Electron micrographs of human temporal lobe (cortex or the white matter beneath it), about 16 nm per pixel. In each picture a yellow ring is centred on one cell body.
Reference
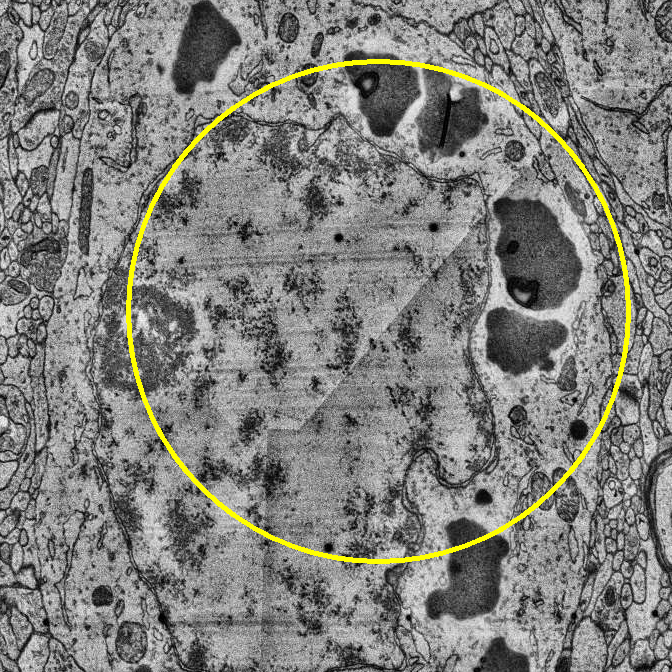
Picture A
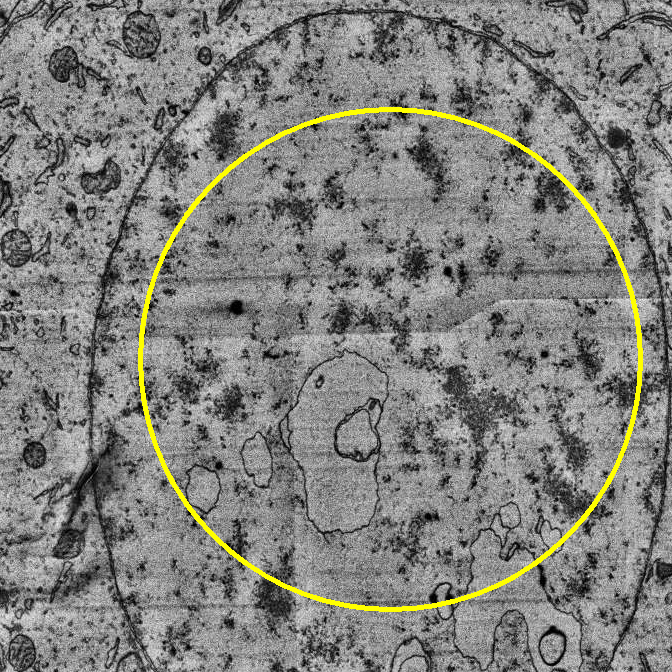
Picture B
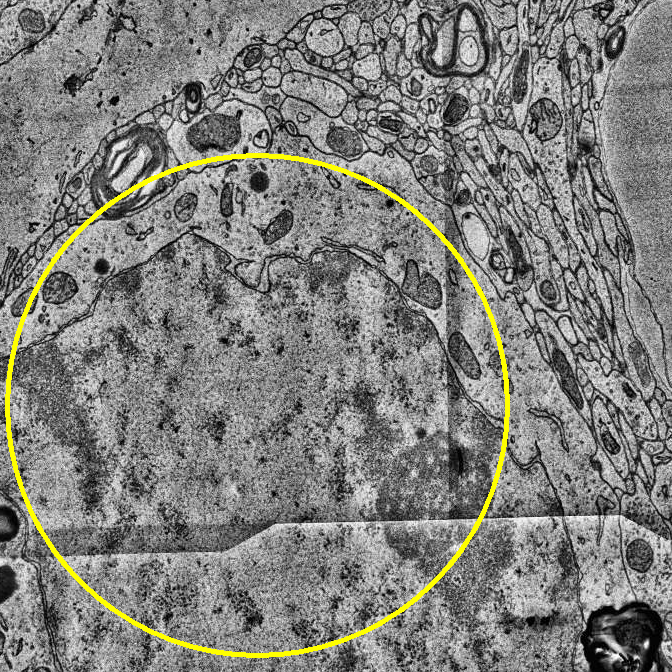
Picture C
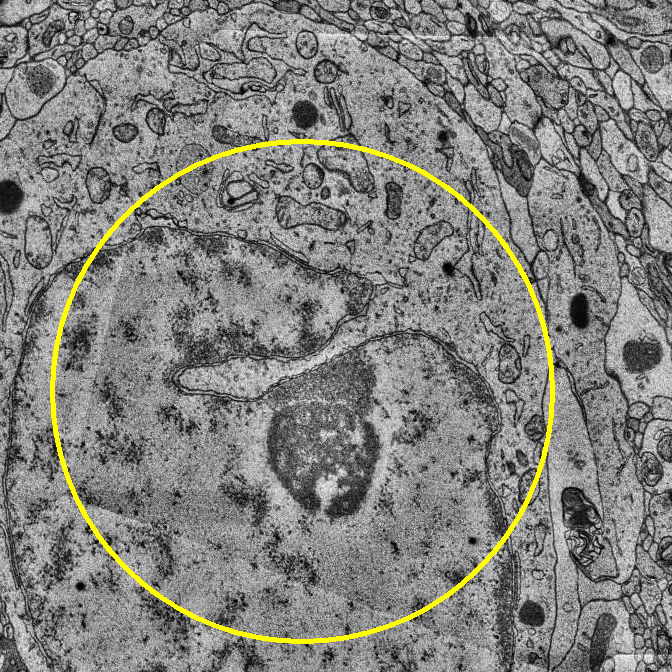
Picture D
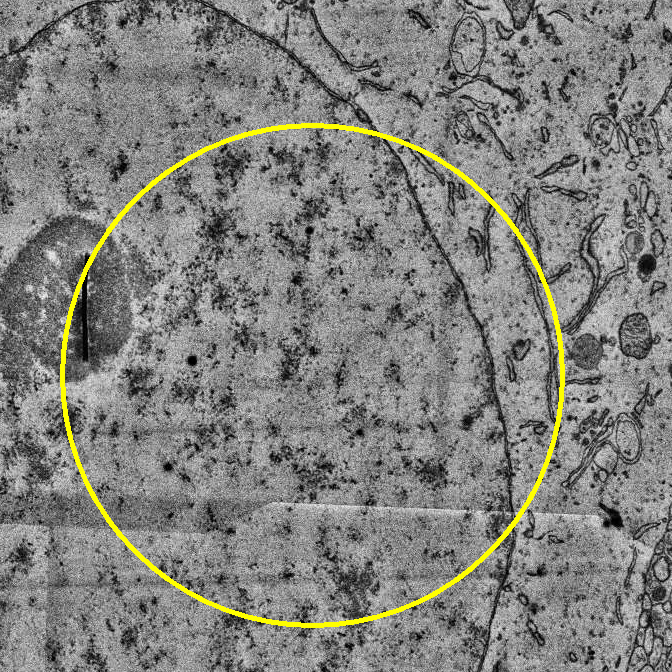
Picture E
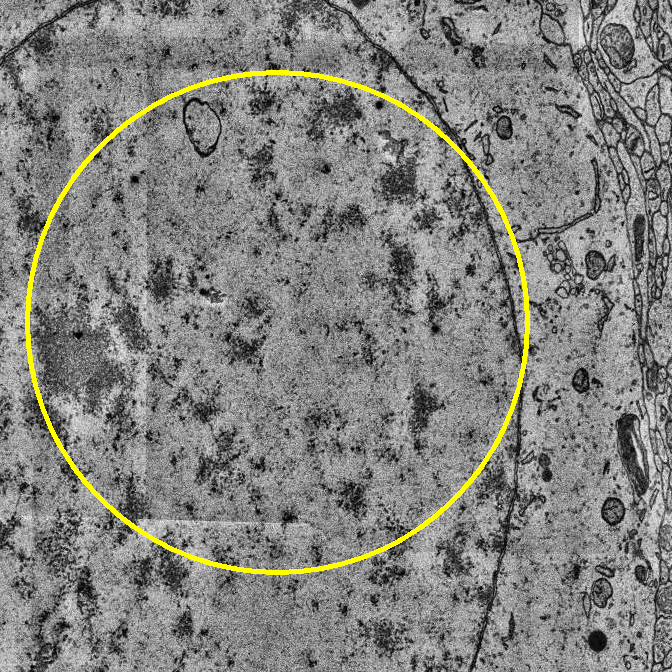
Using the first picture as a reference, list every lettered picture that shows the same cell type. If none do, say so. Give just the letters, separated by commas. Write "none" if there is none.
B, C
